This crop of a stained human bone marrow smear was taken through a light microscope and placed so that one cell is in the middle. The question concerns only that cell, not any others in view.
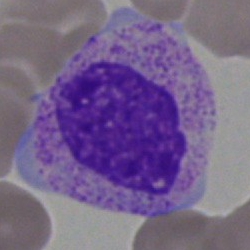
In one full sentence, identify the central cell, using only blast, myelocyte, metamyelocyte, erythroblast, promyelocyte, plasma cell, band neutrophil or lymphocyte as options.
For this crop, the central cell is a myelocyte.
